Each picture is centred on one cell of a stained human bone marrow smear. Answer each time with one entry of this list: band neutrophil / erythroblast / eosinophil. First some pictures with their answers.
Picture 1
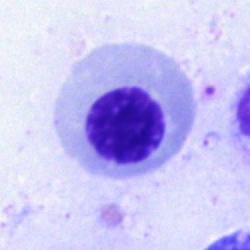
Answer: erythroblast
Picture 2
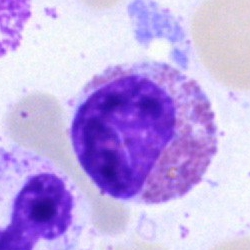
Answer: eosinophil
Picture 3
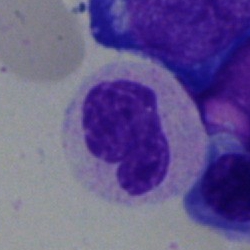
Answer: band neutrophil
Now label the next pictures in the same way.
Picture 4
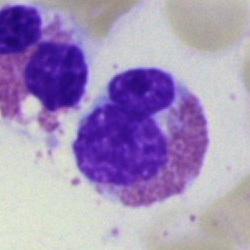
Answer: eosinophil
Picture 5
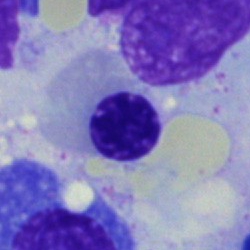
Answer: erythroblast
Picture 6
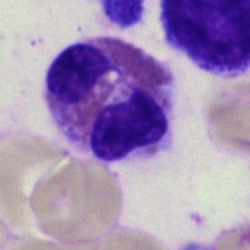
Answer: eosinophil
